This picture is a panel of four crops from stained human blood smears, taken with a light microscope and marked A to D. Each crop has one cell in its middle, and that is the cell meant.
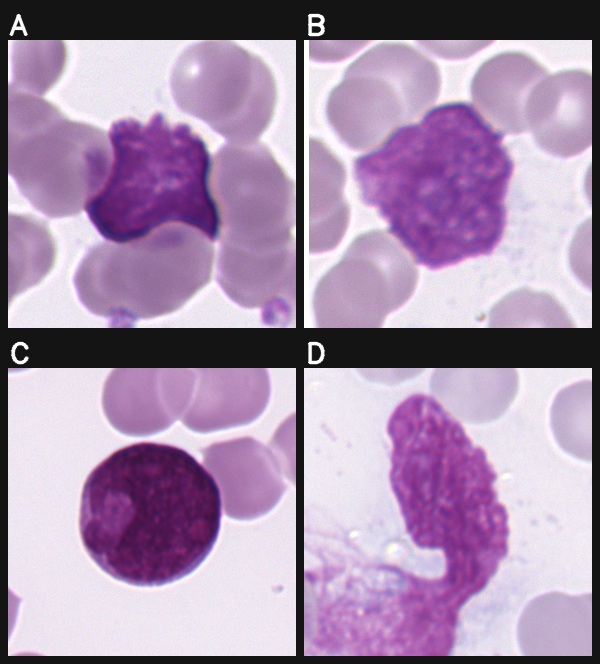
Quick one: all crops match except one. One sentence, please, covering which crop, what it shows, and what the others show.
What sets crop C apart is that it shows a myeloblast, while the others show smudge cells.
